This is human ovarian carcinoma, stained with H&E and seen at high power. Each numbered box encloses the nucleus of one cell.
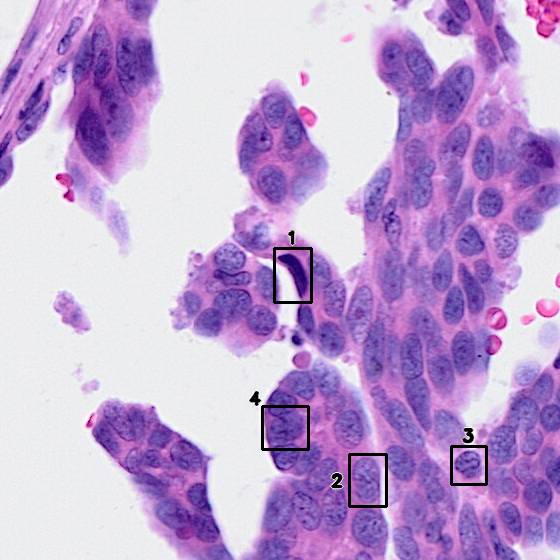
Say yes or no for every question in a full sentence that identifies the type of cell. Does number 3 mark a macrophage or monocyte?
Yes, the cell pointed out as number 3 is a macrophage or monocyte.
